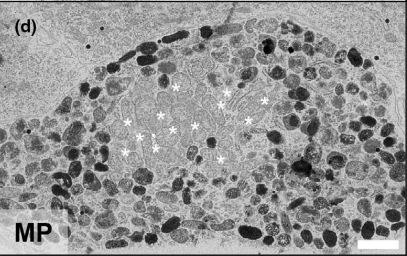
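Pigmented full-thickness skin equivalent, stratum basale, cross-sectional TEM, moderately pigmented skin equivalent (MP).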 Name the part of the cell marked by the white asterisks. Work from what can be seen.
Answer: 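Mitochondria. Elongated grey organelles with internal membranes lie at the asterisks. They sit in the central cytoplasm surrounded by dense granules.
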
